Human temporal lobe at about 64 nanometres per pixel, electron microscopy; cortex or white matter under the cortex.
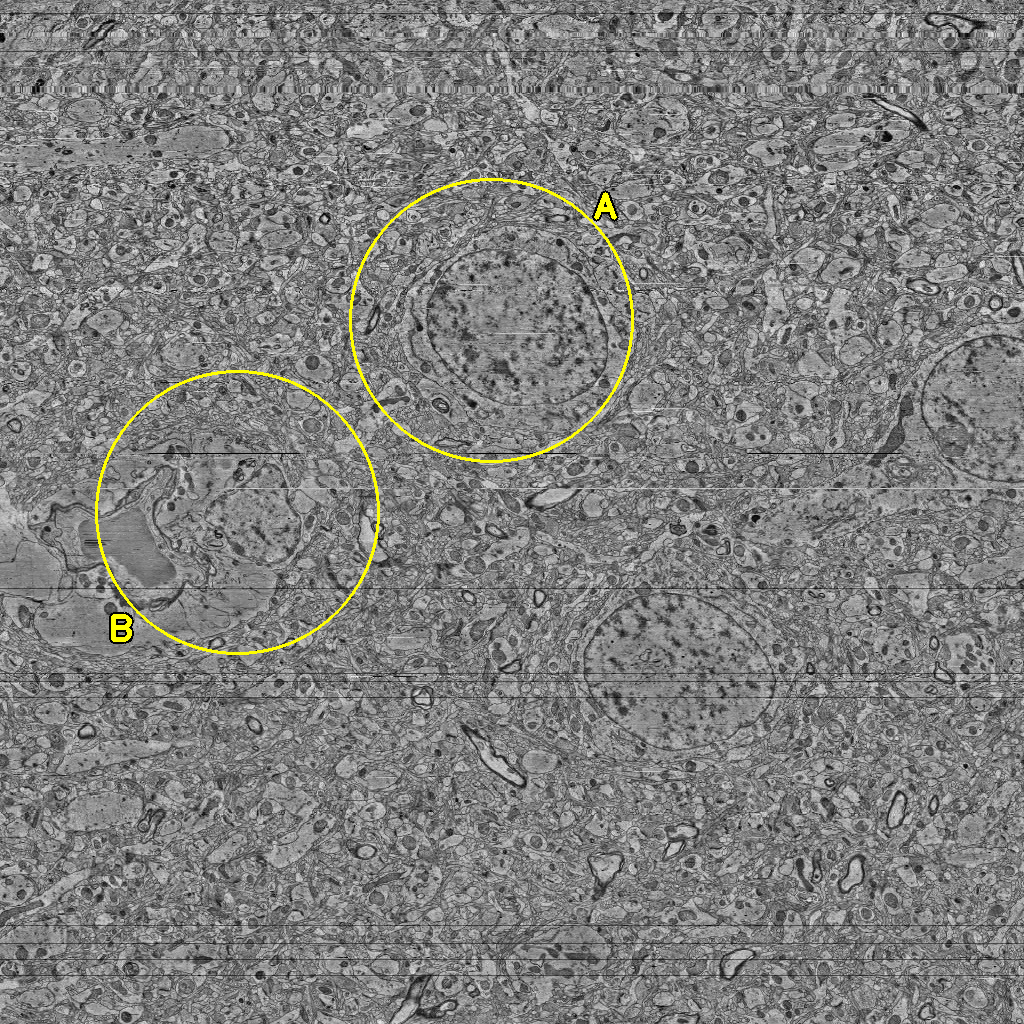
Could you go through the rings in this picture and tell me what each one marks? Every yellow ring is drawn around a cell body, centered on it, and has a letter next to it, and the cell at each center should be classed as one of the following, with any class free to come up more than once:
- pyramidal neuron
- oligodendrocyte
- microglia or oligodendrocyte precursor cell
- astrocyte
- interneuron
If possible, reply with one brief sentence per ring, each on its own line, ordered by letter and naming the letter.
The cell centered in ring A is a pyramidal neuron.
The cell centered in ring B is a microglial cell or oligodendrocyte precursor cell.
